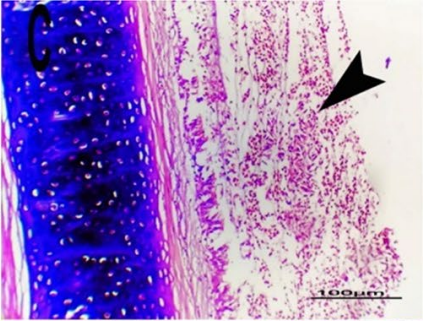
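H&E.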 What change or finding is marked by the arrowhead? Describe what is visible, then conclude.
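Extravasated erythrocytes. Many small pink-red cells lie scattered in the tissue beside the cartilage. The red cells are not enclosed in vessels.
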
